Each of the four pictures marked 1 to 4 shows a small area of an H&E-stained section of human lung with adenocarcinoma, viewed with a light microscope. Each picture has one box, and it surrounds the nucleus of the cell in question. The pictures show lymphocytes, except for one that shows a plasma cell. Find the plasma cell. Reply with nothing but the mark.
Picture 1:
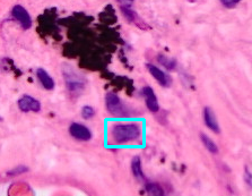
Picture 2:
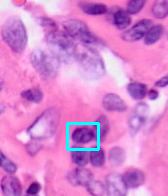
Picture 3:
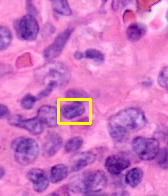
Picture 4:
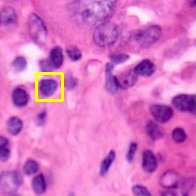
1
